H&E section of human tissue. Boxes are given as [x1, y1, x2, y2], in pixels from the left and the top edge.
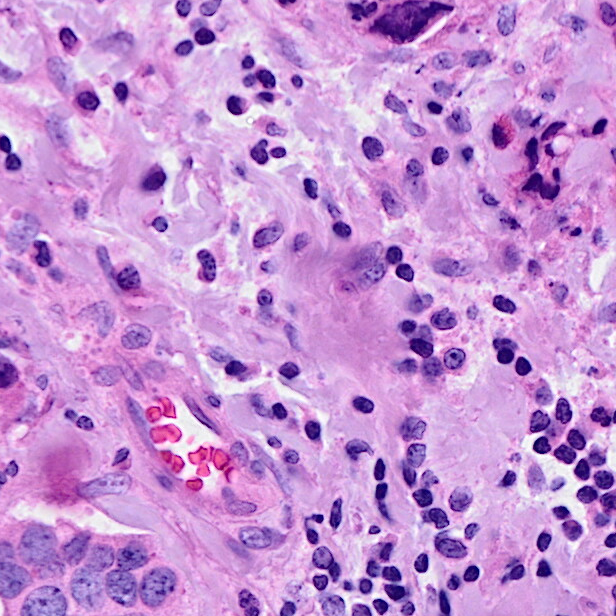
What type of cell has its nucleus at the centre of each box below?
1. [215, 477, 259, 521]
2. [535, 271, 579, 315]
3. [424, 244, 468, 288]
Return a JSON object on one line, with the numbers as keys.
{"1": "endothelial cell", "2": "macrophage, monocyte or dendritic cell", "3": "macrophage, monocyte or dendritic cell"}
